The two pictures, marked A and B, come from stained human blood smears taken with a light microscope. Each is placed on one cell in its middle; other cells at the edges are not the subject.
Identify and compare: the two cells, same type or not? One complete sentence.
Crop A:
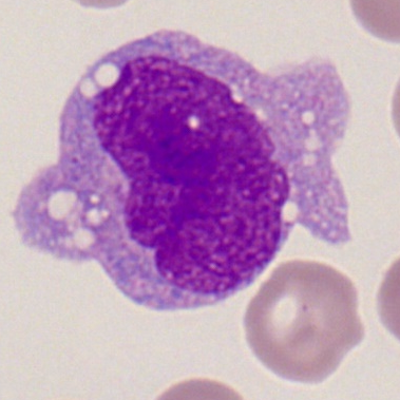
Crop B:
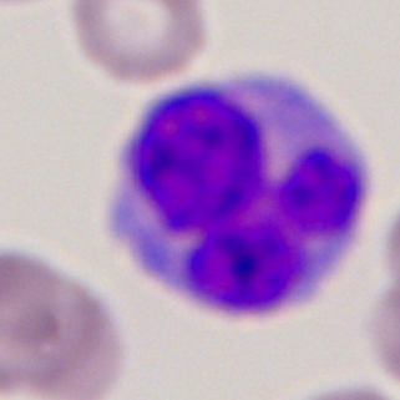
Yes, both crops have monocytes as their central cells.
